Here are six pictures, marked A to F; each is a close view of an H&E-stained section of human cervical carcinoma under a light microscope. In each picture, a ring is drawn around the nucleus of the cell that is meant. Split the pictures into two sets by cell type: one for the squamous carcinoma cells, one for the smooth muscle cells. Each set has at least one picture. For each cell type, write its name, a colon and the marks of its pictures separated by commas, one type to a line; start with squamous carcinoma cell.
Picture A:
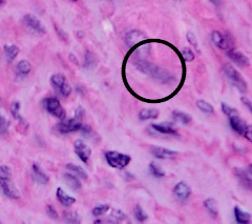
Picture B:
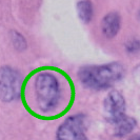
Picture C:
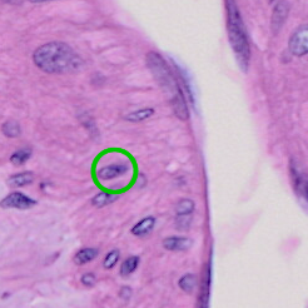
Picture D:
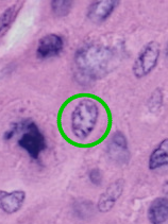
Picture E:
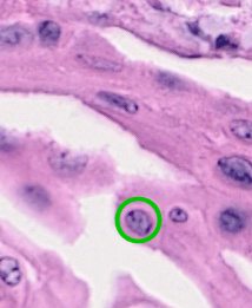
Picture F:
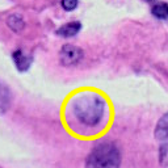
squamous carcinoma cell: B, D, E, F
smooth muscle cell: A, C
